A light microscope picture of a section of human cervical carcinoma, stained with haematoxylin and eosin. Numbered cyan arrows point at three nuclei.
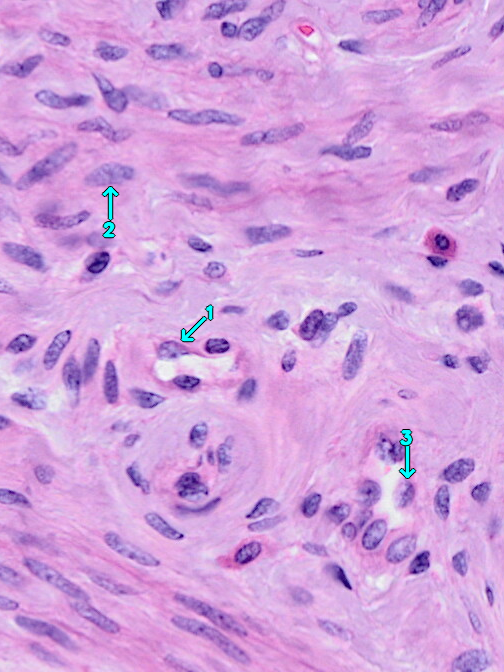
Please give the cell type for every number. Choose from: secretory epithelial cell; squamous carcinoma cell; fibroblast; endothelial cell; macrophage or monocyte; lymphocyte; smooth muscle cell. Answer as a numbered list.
1. endothelial cell
2. smooth muscle cell
3. endothelial cell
